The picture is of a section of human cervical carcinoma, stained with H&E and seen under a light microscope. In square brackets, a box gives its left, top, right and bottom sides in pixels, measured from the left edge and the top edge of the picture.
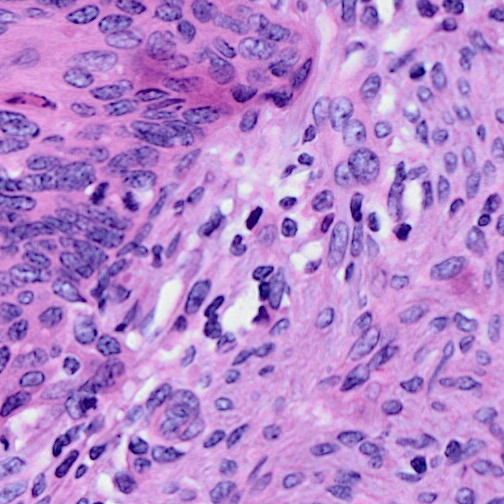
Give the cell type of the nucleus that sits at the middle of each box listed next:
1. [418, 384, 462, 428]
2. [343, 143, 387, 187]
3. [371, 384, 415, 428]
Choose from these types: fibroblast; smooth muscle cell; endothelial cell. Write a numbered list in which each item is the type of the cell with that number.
1. smooth muscle cell
2. endothelial cell
3. smooth muscle cell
